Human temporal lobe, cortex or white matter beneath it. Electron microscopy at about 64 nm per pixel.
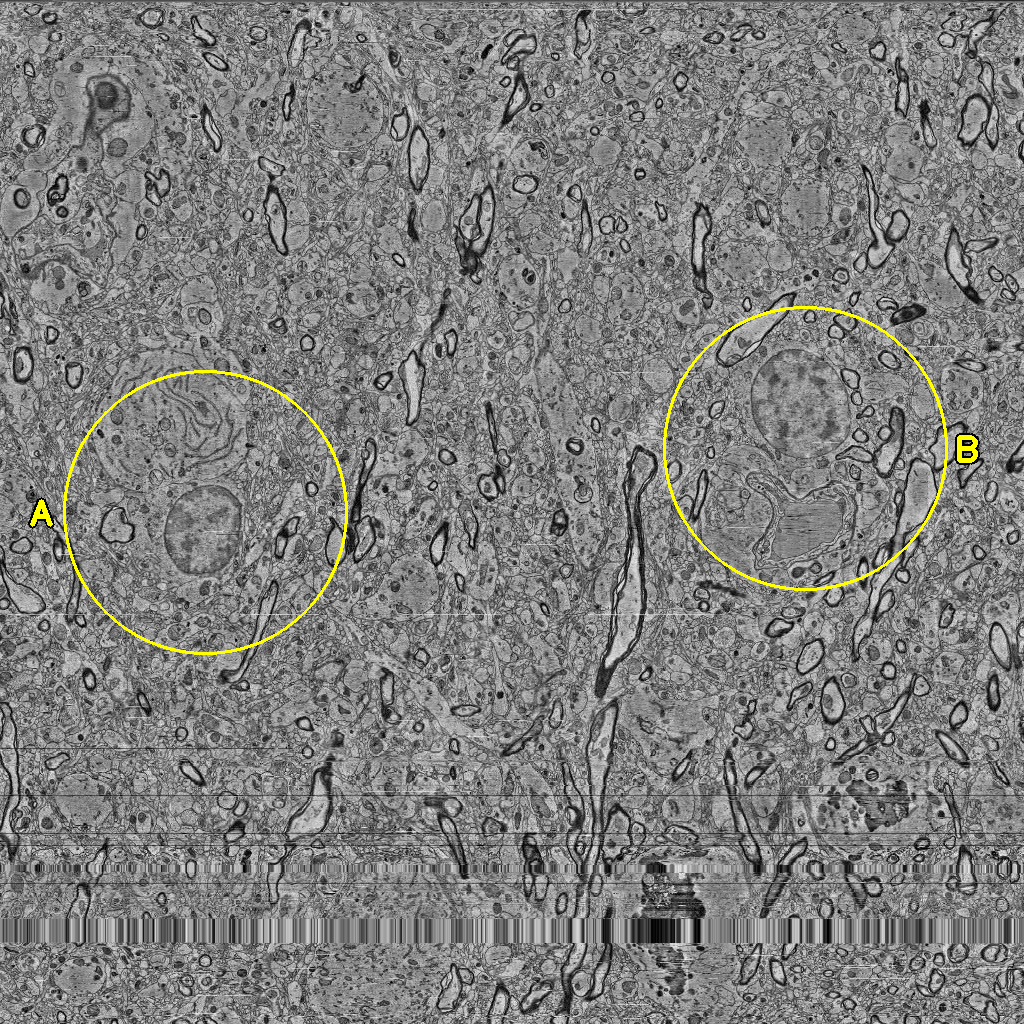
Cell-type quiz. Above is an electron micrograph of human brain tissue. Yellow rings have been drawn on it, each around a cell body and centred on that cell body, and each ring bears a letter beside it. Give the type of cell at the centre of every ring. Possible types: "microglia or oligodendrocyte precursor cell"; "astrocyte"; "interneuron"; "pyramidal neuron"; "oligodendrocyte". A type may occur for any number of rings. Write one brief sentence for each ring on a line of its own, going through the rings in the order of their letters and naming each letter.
Ring A is centred on the cell body of an oligodendrocyte.
Ring B is centred on the cell body of an oligodendrocyte.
